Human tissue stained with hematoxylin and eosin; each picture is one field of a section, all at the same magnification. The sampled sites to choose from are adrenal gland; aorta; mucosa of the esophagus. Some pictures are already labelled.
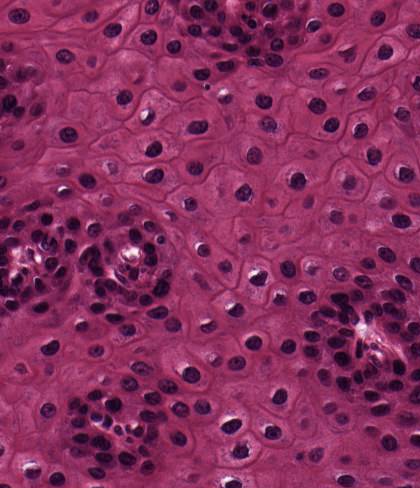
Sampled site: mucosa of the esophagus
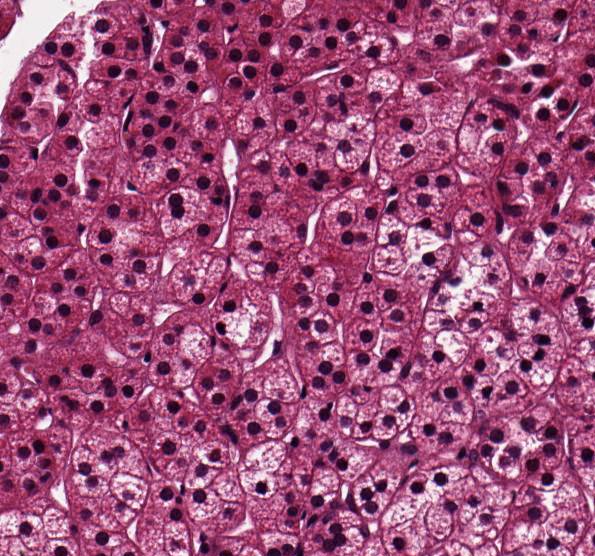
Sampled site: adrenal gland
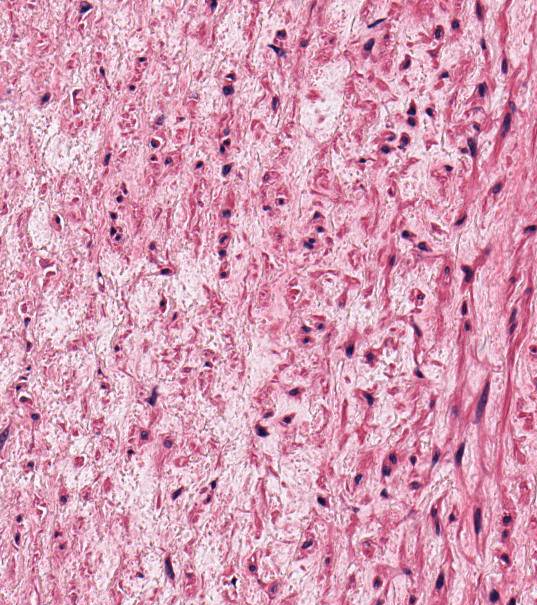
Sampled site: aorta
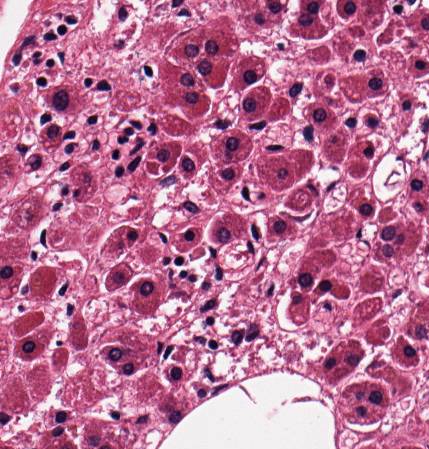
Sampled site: adrenal gland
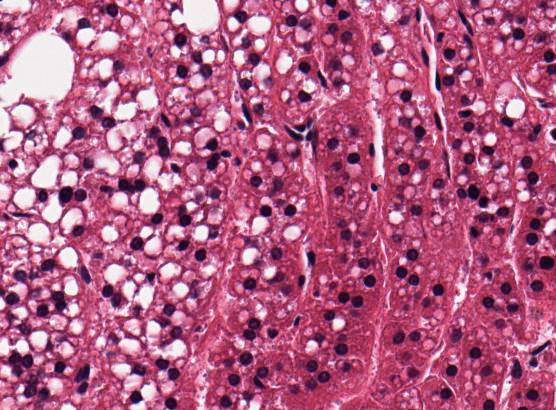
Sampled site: adrenal gland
